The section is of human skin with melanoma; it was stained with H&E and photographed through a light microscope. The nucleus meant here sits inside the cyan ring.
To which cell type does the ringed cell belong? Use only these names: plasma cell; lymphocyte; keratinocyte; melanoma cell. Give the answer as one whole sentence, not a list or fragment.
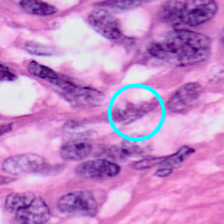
The cell type represented by the ringed cell is that of a melanoma cell.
